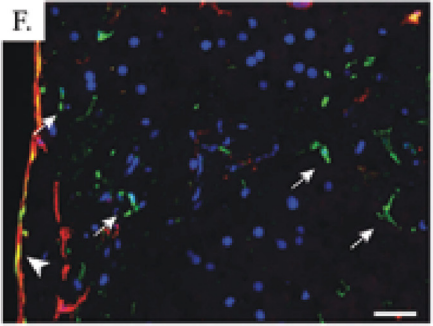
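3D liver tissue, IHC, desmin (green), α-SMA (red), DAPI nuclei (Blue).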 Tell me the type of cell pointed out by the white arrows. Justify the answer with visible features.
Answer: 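Arrows point at small green cells with thin branching shapes. So: quiescent stellates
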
